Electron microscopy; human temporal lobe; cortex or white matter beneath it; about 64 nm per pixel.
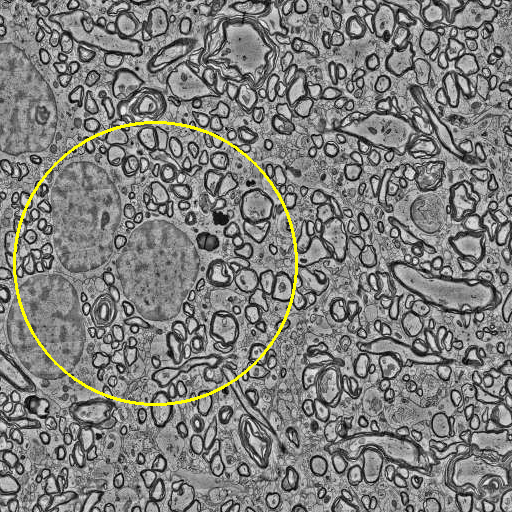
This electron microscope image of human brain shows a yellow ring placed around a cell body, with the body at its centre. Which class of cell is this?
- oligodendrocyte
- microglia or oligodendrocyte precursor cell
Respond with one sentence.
The cell body at the ring's centre is an oligodendrocyte.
